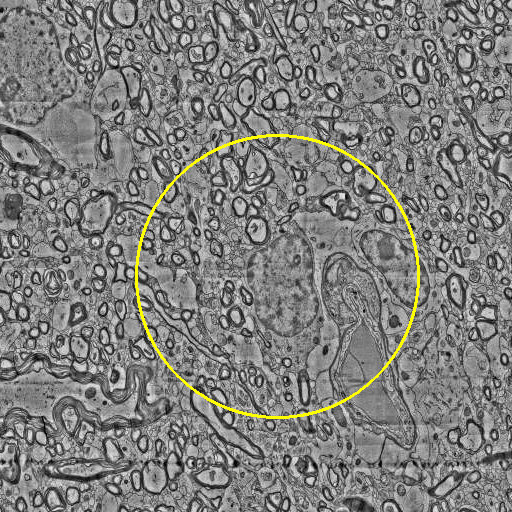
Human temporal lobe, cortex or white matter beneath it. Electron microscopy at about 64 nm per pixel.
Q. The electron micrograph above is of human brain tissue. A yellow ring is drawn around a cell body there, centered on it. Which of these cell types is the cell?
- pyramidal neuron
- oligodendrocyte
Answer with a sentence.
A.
The cell under the ring's center is an oligodendrocyte.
